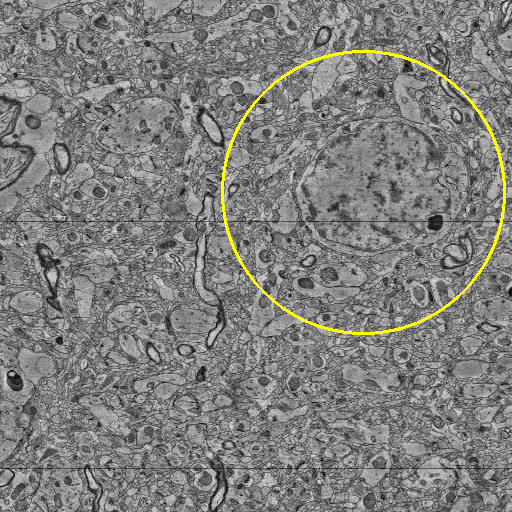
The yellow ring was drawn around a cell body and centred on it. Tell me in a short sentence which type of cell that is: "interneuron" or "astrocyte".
The cell at the ring's centre is an interneuron.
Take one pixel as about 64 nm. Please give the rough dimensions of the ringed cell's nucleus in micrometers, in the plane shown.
In this plane the ringed cell's nucleus is roughly 9 micrometres across.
